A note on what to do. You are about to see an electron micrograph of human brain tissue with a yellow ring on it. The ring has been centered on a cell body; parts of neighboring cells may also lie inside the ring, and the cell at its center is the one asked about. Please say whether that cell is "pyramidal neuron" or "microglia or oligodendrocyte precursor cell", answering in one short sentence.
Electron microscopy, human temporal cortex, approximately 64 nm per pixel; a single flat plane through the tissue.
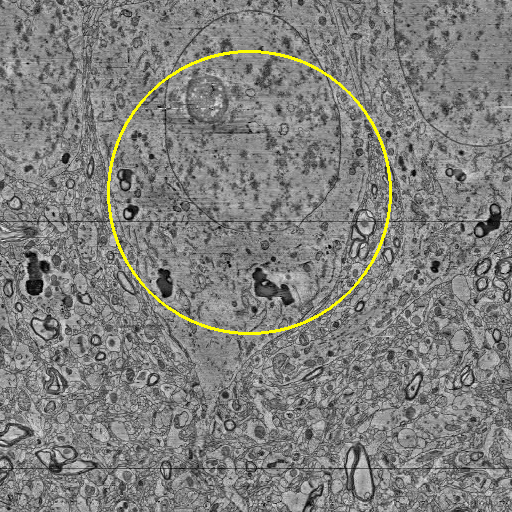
The yellow ring sits on a pyramidal neuron.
